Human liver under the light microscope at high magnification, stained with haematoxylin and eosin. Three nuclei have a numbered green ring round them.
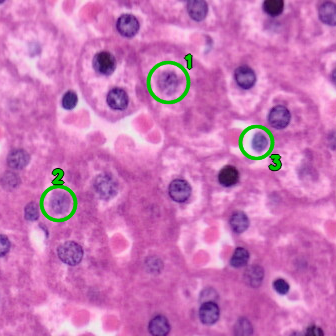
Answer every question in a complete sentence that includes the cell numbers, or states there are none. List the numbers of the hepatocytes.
Classified as hepatocytes are the cells numbered 1 and 2.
